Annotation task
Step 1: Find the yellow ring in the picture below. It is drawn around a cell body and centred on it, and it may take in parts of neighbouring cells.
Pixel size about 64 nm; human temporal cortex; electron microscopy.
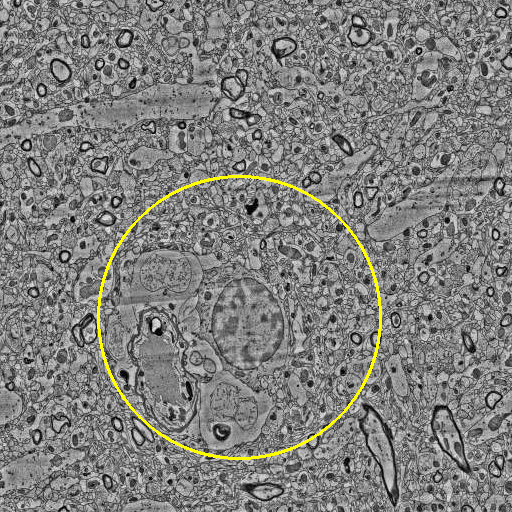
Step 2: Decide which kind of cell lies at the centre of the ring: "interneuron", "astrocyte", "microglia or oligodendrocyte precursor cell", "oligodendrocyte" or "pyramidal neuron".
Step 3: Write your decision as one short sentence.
The kind of cell at the ring's centre is an oligodendrocyte.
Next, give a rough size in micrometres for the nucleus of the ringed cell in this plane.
About 6 micrometres by about 5 micrometres in this plane.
